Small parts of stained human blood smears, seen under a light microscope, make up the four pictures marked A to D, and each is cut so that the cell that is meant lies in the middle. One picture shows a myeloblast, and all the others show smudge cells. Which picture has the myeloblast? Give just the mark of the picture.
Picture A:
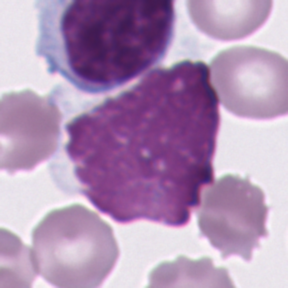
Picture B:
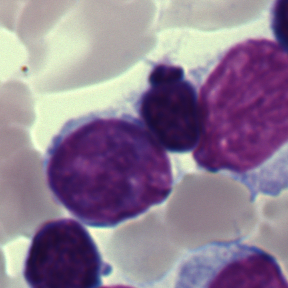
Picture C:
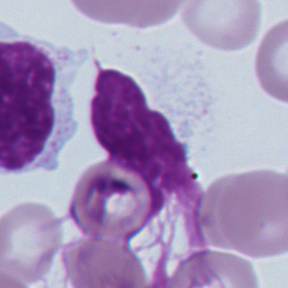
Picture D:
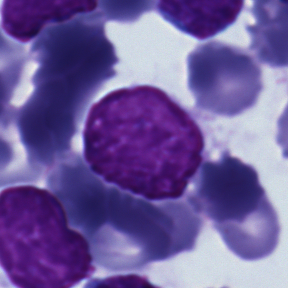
B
